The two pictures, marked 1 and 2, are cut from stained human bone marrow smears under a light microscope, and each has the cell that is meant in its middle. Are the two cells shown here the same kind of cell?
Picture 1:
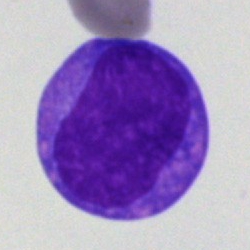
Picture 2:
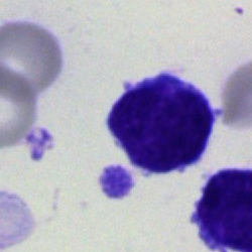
yes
